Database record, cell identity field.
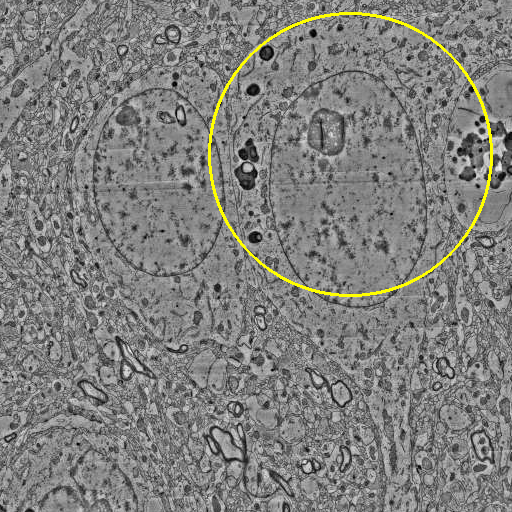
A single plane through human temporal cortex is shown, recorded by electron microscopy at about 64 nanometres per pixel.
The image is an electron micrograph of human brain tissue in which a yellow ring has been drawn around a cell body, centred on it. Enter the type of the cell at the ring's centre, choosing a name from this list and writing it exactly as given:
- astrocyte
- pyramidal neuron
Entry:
pyramidal neuron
